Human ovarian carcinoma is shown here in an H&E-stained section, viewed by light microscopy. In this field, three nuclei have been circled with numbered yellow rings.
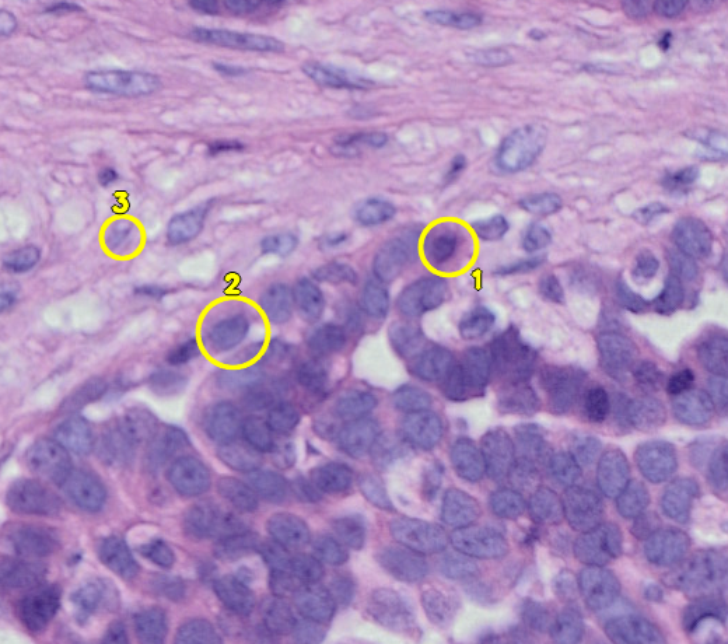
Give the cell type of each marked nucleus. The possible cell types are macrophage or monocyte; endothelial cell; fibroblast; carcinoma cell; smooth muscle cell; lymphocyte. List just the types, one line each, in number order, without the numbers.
carcinoma cell
carcinoma cell
fibroblast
